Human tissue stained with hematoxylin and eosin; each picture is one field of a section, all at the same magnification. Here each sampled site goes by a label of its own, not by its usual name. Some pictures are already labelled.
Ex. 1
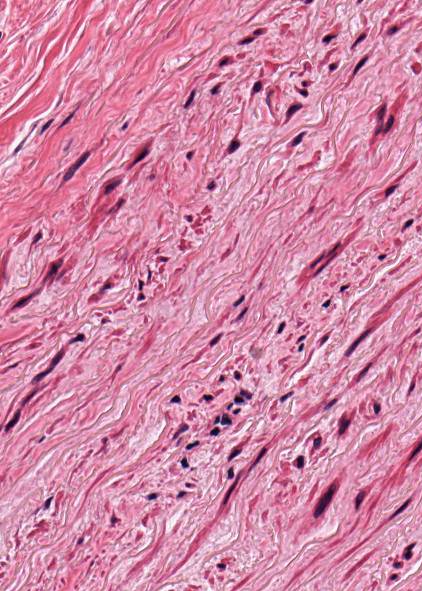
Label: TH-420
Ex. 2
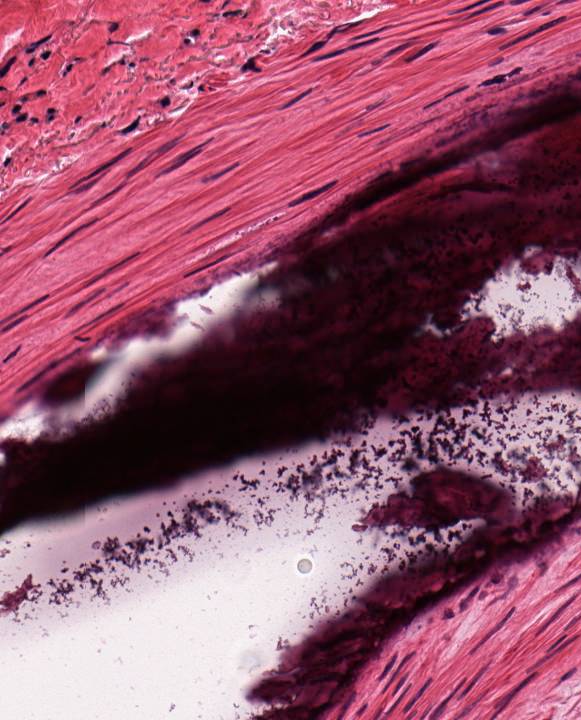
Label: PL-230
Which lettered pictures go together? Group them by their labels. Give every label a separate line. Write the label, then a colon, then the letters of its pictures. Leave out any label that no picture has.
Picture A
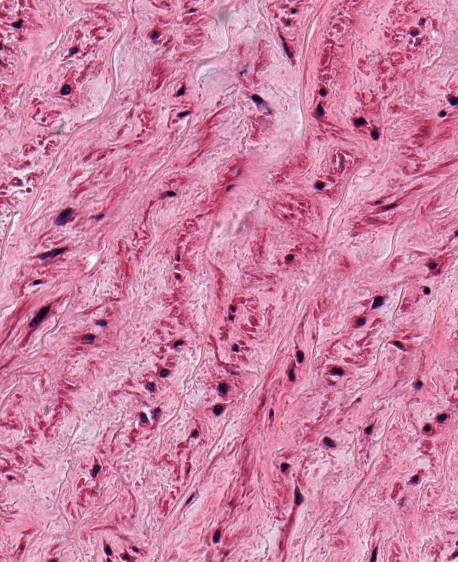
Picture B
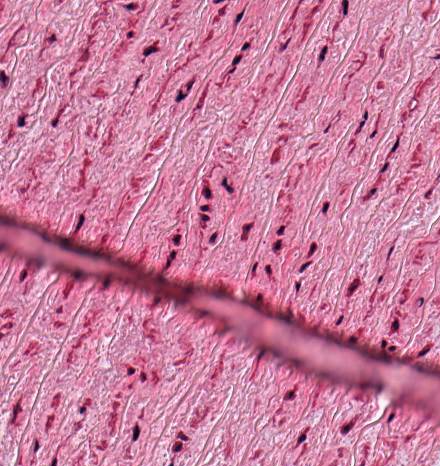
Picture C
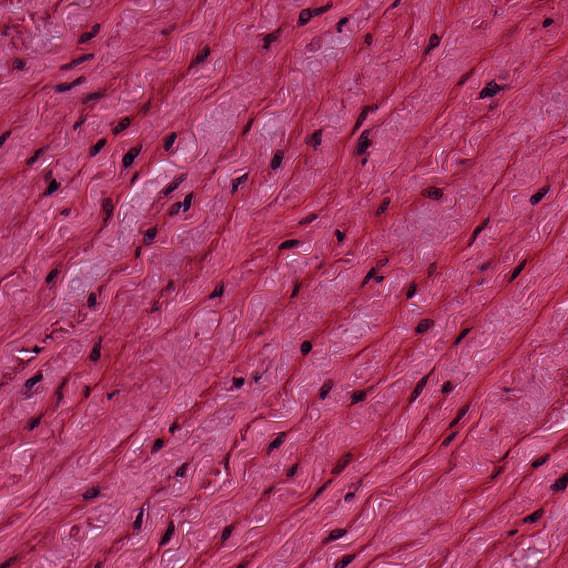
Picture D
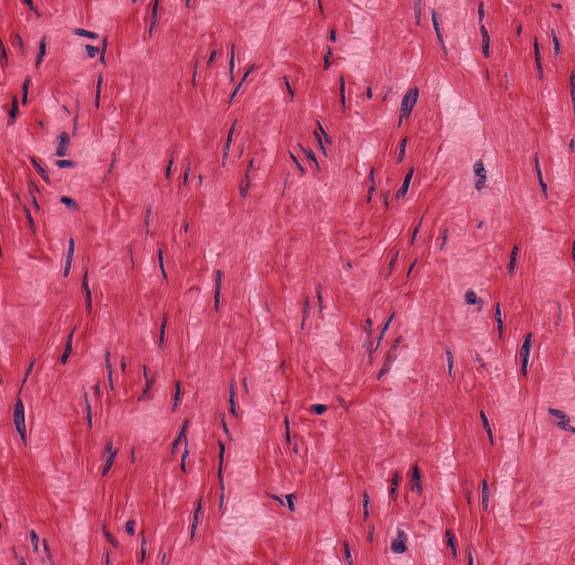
TH-420: A, B, C
PL-230: D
